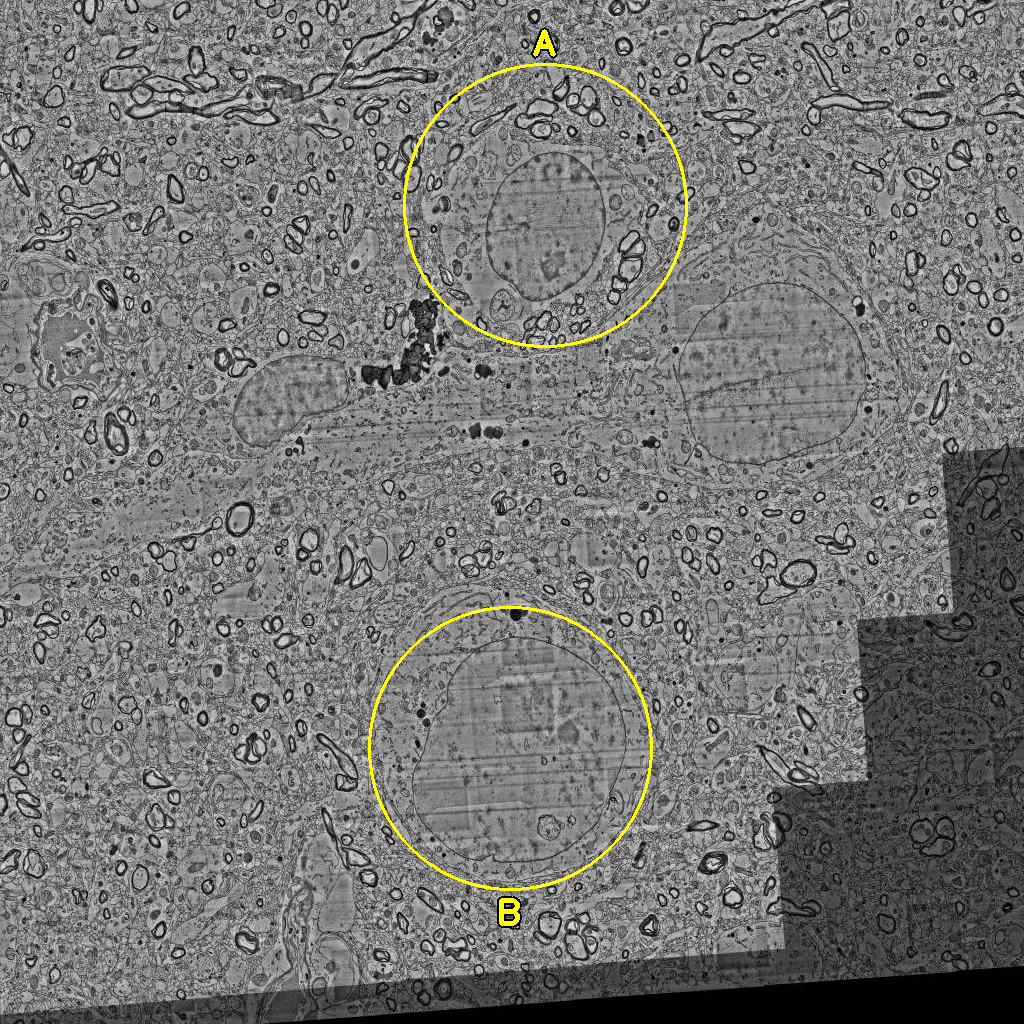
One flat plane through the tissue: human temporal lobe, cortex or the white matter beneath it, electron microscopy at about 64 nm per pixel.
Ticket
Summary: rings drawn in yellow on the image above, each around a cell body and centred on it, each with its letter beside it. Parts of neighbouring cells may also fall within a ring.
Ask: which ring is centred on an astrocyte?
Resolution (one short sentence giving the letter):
The ring marked A is centred on it.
